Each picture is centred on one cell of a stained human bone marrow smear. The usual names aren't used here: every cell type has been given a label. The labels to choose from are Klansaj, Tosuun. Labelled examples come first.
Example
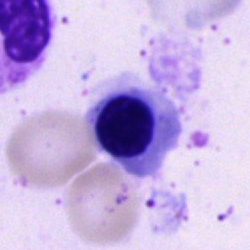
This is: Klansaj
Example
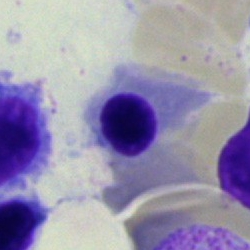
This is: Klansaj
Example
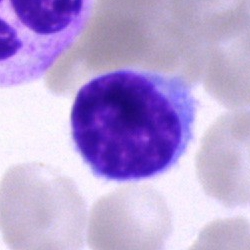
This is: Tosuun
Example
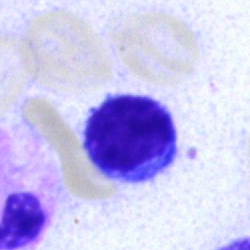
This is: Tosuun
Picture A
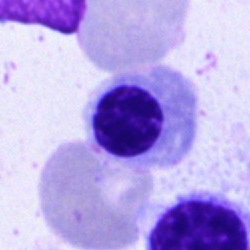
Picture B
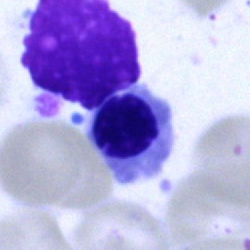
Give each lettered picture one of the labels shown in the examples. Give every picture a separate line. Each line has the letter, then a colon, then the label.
A: Klansaj
B: Klansaj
